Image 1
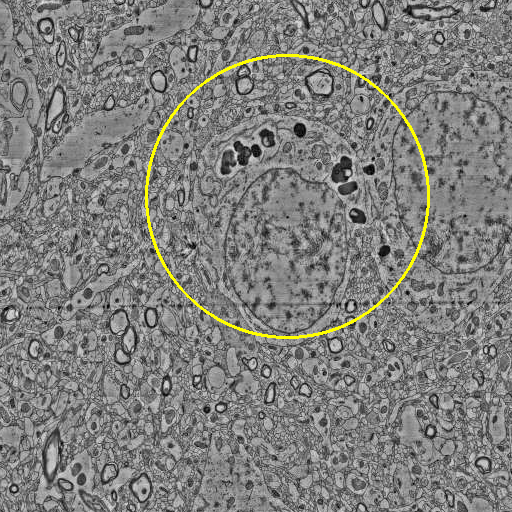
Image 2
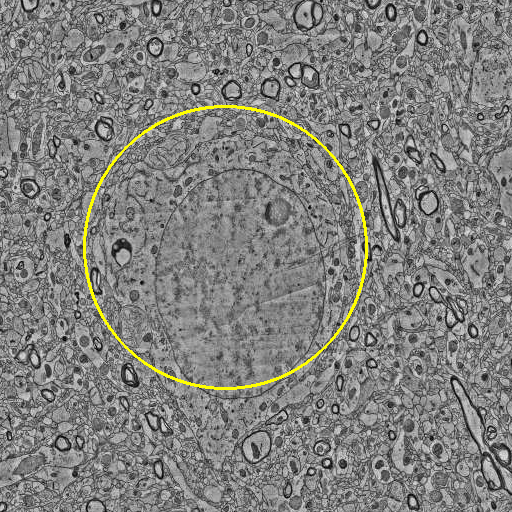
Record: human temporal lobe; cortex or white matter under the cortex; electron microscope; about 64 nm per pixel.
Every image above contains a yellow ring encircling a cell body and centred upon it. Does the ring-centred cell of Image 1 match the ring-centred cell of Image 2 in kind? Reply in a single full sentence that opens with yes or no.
Yes, the cell at the ring's centre in Image 1 is the same kind as that in Image 2.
